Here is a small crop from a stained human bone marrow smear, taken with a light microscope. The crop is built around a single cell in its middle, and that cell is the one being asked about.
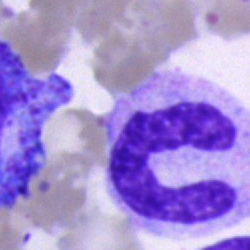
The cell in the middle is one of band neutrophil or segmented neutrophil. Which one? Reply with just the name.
band neutrophil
